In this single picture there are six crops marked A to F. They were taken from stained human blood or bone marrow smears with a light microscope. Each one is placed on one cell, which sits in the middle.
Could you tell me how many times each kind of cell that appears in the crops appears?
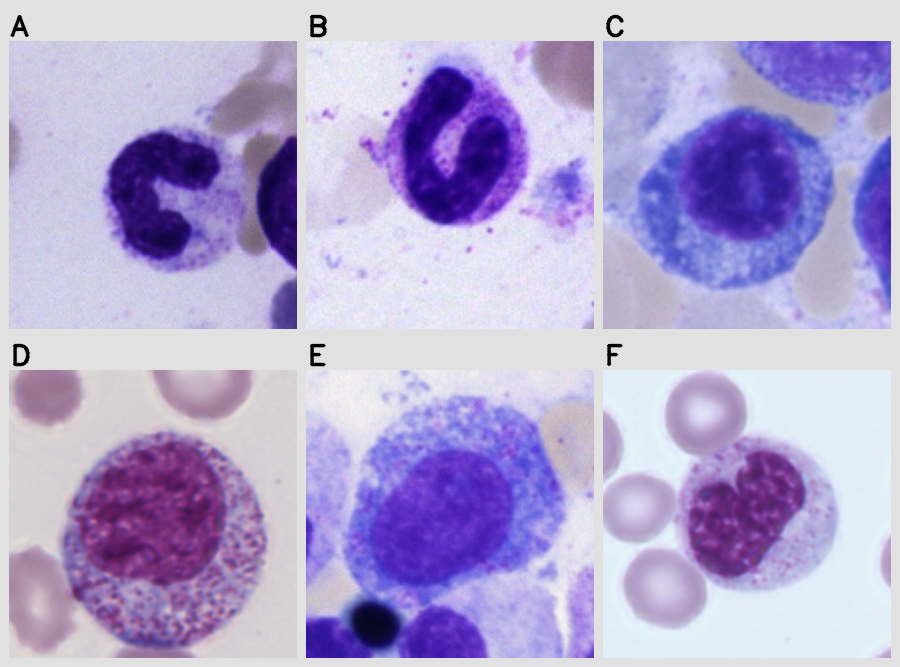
band neutrophil: 3
promyelocyte: 2
plasma cell: 1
